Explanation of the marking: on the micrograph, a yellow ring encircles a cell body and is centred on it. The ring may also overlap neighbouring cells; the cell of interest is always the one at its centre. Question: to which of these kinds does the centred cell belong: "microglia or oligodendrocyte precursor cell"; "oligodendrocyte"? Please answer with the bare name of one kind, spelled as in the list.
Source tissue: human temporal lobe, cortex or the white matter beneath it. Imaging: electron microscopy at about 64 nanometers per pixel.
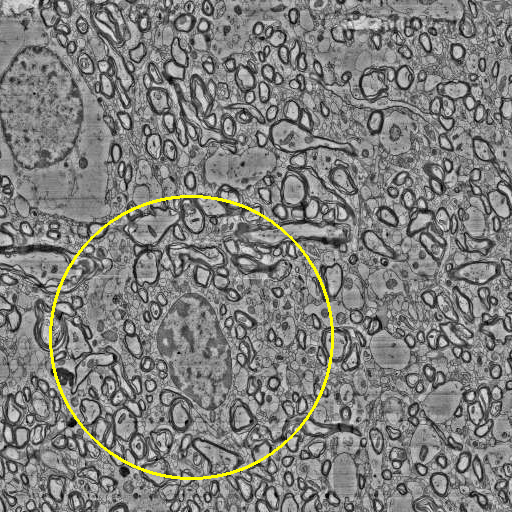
microglia or oligodendrocyte precursor cell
